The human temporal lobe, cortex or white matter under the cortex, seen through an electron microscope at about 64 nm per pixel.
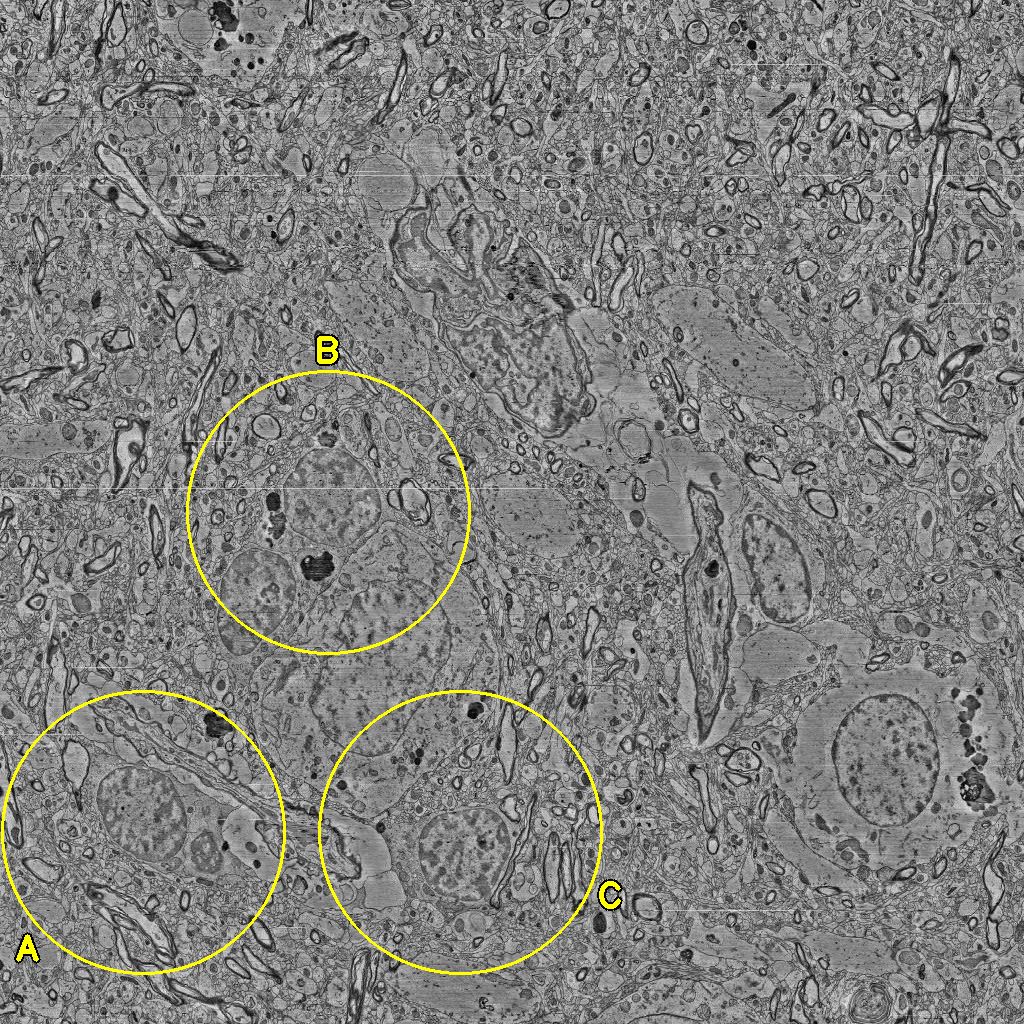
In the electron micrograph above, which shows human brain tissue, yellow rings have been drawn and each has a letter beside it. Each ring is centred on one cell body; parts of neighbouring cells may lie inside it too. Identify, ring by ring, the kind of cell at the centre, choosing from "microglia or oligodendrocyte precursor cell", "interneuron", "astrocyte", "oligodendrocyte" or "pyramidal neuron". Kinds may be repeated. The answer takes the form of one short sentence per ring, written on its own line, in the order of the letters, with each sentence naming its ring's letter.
Inside ring A, at its centre, is an oligodendrocyte.
Inside ring B, at its centre, is an oligodendrocyte.
Inside ring C, at its centre, is an oligodendrocyte.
